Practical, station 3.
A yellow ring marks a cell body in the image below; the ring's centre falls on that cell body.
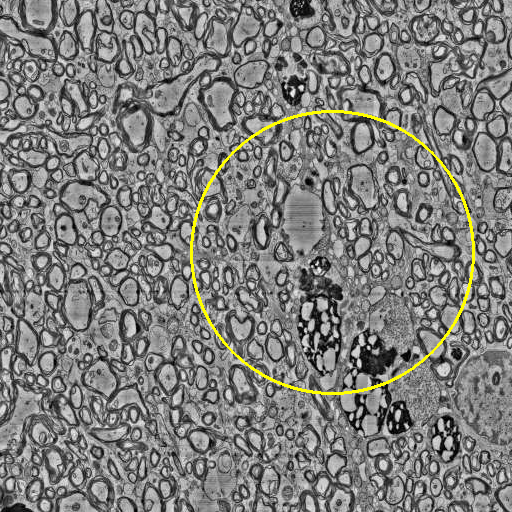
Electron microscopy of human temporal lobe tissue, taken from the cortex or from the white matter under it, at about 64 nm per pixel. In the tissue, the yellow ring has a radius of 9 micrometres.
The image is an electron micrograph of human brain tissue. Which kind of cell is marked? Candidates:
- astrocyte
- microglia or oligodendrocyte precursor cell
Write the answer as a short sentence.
The marked cell body is that of an astrocyte.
